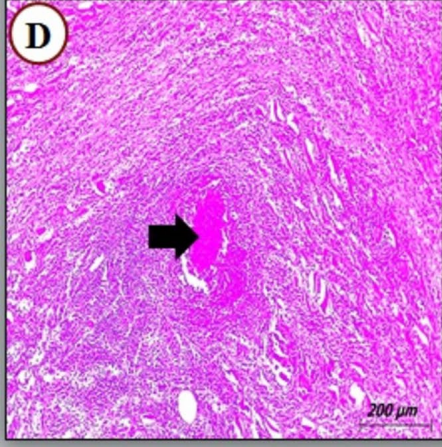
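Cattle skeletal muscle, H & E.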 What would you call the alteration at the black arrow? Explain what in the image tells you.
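The arrow points to a deep pink central focus. The focus is ringed by densely packed cells arranged around it. The answer: Granulomatous Inflammation.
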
